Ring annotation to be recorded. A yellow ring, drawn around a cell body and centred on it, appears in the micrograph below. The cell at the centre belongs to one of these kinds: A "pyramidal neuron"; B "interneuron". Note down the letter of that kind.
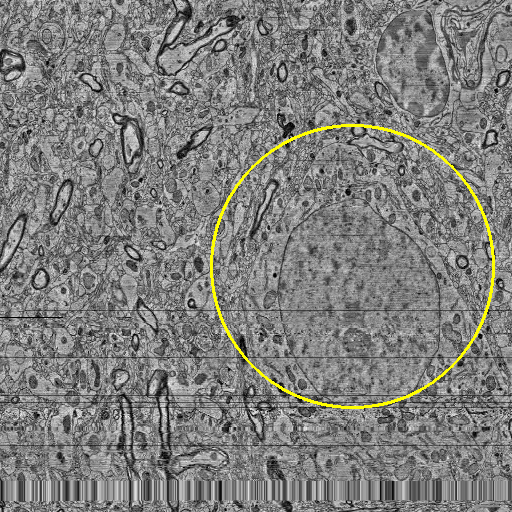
B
